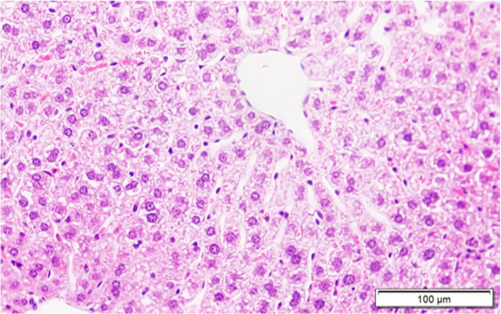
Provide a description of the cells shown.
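Liver tissue with closely packed polygonal liver cells arranged in cords that radiate toward a central, irregular vascular lumen near the top middle. The cells have pink, finely granular cytoplasm and round, centrally placed purple nuclei with visible nucleoli; some cells appear to have two nuclei. Narrow pale sinusoidal spaces run between the cords, and small dark elongated nuclei line them.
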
